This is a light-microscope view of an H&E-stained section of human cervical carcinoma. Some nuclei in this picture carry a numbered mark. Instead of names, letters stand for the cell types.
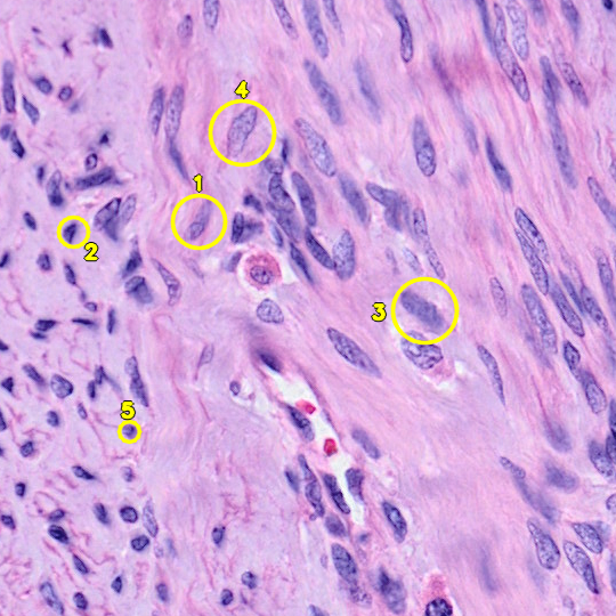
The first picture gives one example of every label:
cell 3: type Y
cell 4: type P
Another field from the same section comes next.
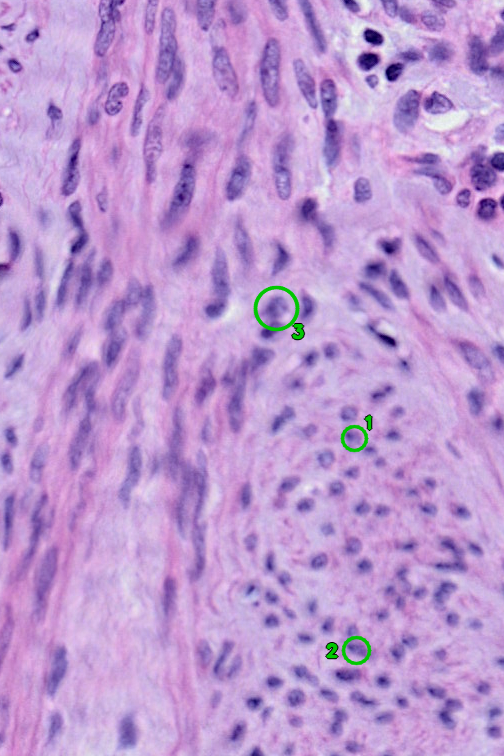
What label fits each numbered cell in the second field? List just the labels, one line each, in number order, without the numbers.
type P
type P
type Y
